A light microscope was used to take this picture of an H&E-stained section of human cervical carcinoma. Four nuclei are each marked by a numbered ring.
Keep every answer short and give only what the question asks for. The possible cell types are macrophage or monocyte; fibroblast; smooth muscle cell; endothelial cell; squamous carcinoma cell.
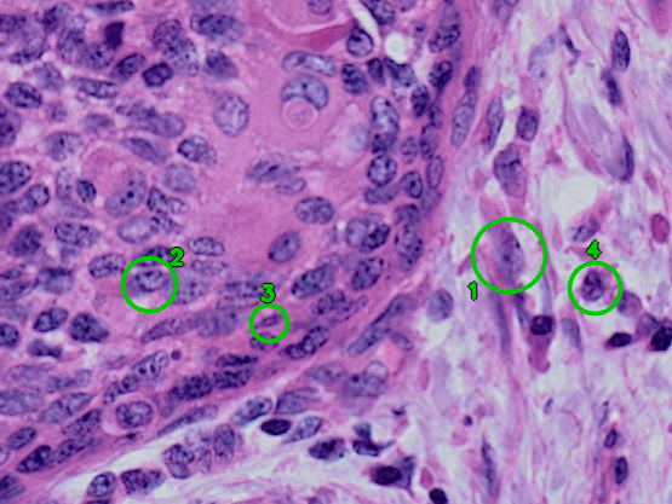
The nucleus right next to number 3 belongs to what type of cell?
squamous carcinoma cell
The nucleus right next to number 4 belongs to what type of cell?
macrophage or monocyte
